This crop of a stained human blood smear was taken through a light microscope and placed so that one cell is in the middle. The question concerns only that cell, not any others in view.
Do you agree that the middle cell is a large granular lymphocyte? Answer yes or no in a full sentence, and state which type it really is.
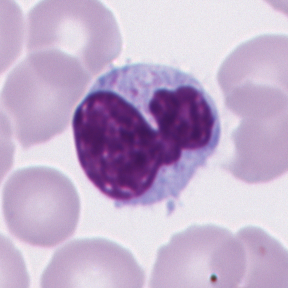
Yes, the crop's central cell is a large granular lymphocyte.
